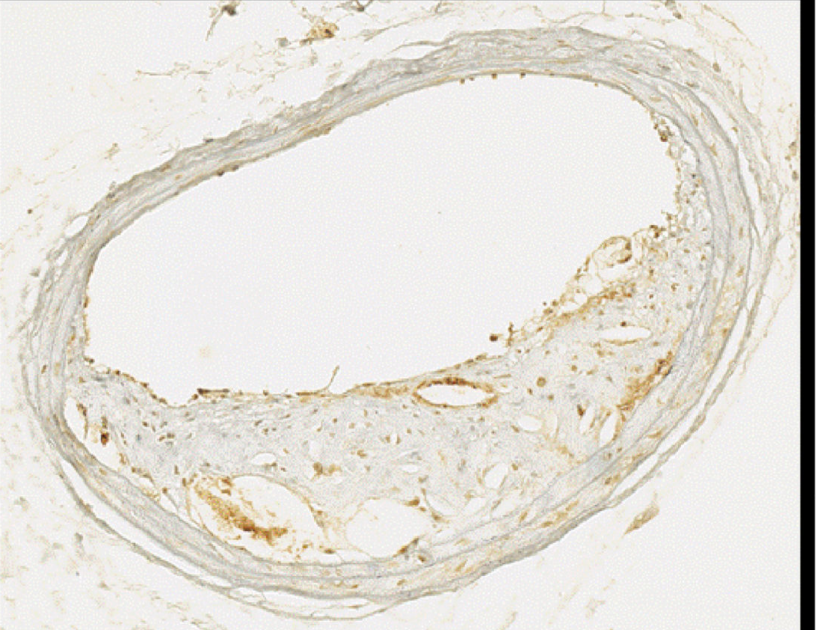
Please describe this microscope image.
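Cross-section of an artery with a thickened neointima occupying the lower side of an oval lumen. The vessel wall is a thin set of concentric, pale, wavy layers. Inside it, on one side, a broad crescent of loose cellular tissue thickens the inner wall, tapering toward the opposite side where the wall remains thin. This thickened layer contains scattered small nuclei, numerous clear rounded and slit-like spaces, and brown deposits, most dense near the lumen surface and around the spaces. Pale loose connective tissue with faint brown patches surrounds the vessel outside.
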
